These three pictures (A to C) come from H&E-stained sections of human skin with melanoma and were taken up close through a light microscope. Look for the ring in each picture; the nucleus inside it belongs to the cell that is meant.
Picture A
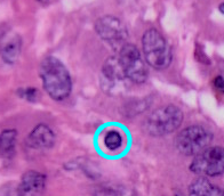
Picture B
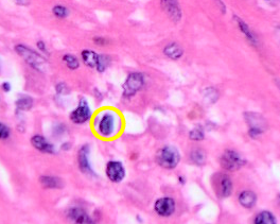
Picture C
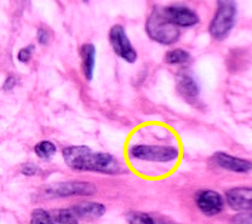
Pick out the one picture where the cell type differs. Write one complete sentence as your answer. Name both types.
The others show lymphocytes, but picture C shows a “macrophage or monocyte”.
